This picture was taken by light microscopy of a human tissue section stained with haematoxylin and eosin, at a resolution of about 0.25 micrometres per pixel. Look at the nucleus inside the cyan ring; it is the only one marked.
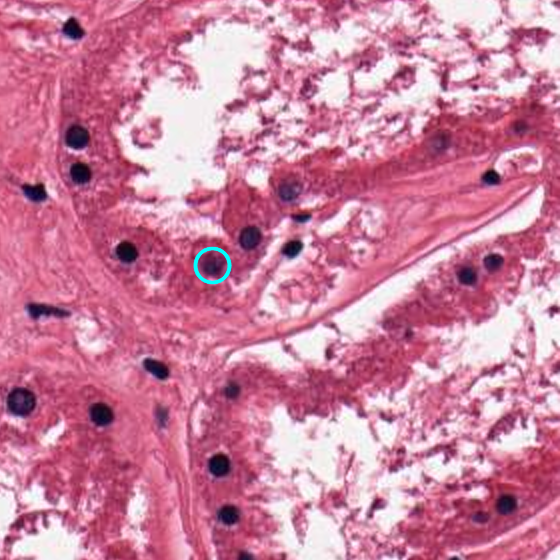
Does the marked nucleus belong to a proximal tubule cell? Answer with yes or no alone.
yes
